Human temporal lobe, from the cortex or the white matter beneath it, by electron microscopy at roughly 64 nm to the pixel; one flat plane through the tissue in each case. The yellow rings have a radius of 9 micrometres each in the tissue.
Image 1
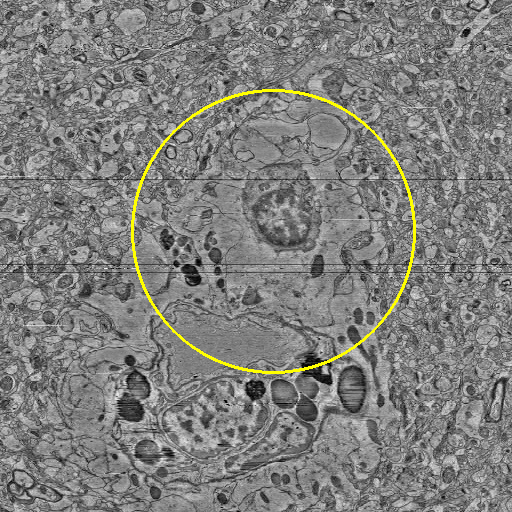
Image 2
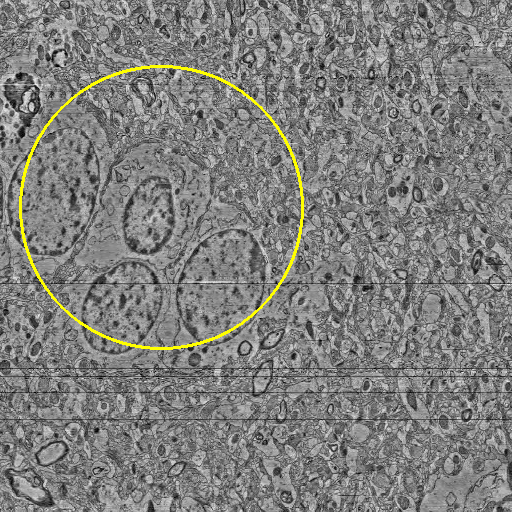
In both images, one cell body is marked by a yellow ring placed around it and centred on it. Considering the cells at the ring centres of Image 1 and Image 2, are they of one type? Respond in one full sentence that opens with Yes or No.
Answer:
No, two types apply to the ring-centred cells of Image 1 and Image 2.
